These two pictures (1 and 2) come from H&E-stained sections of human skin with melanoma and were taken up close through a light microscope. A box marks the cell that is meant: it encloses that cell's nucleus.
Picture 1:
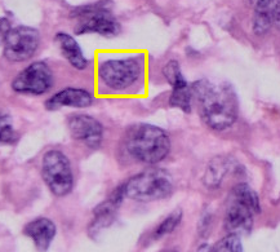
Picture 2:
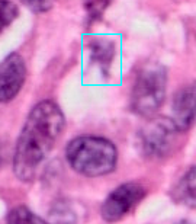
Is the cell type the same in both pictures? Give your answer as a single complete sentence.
Yes, they are the same type: both are melanoma cells.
